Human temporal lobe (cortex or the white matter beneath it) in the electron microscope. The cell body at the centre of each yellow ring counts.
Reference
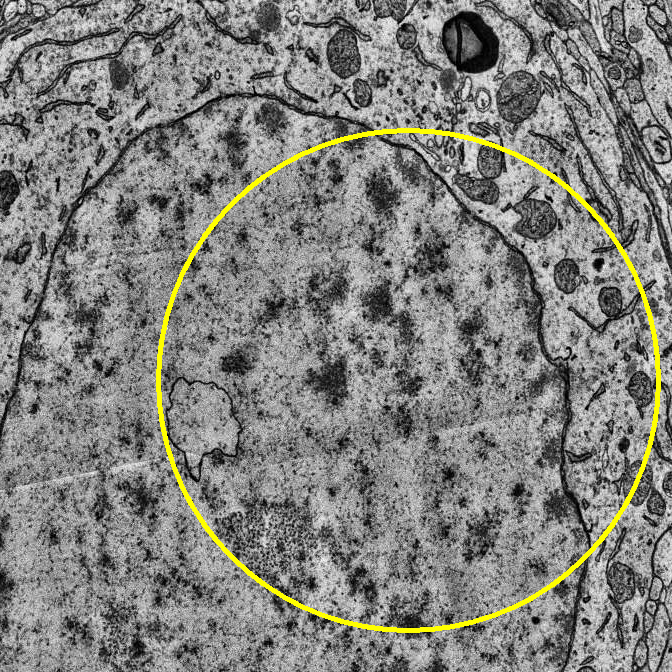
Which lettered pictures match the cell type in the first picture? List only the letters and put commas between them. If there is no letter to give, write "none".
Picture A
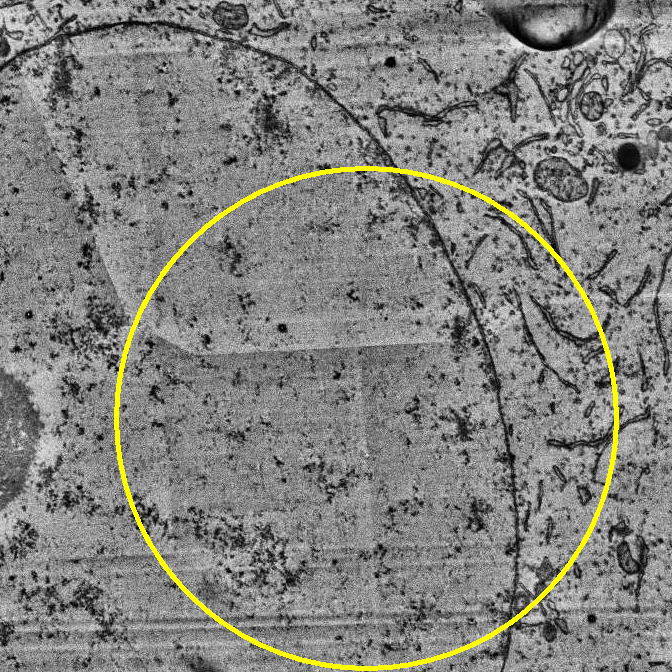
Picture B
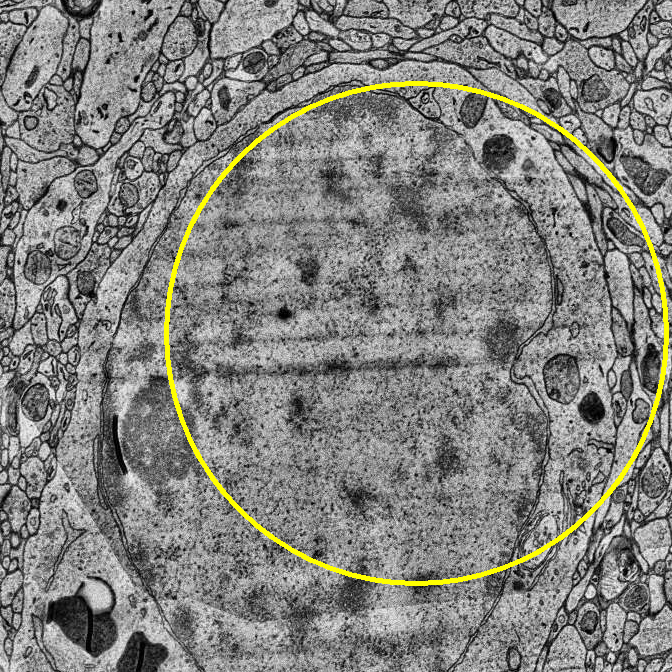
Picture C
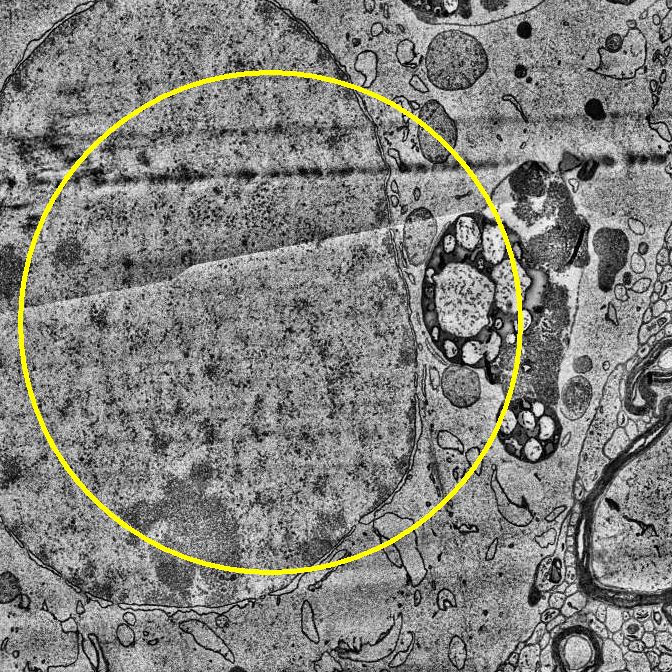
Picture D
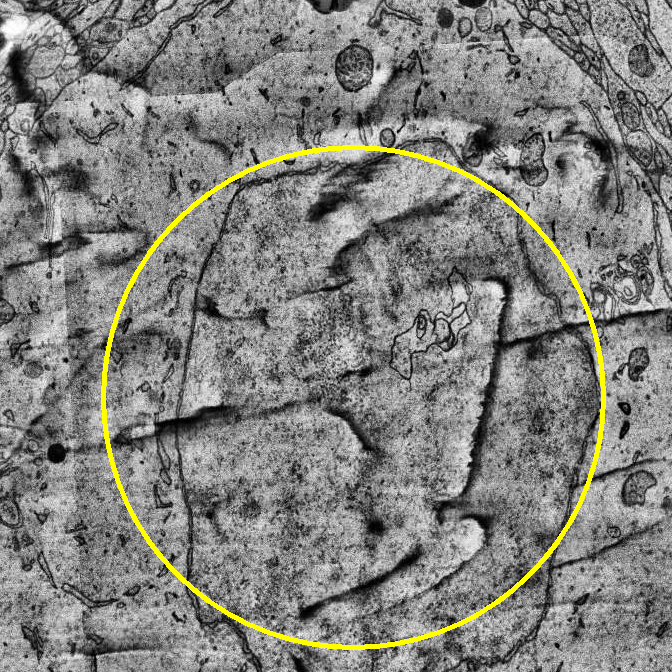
A, D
